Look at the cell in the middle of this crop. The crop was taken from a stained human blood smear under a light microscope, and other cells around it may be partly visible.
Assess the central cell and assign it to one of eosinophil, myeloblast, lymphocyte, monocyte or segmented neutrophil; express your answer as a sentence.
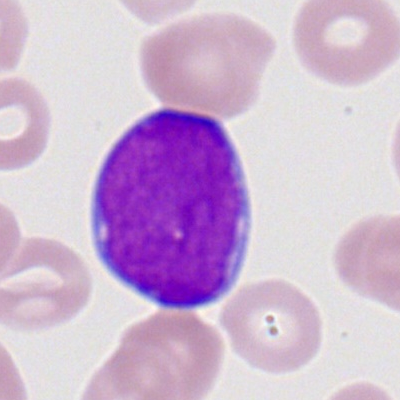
The cell around which this crop is centred is a myeloblast.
